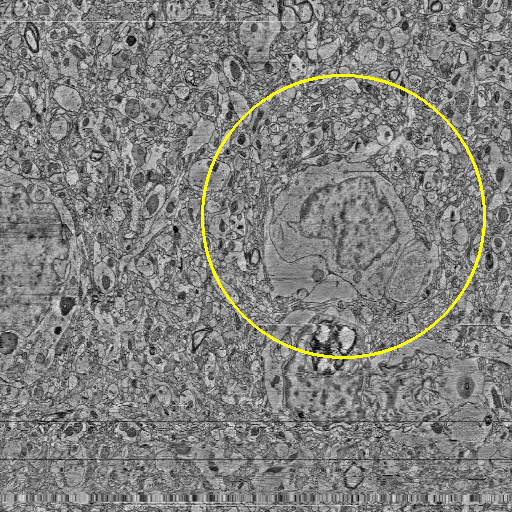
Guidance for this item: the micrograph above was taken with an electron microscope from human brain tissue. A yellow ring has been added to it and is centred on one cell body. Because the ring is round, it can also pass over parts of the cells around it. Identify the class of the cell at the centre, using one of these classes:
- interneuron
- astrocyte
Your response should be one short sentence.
The ring surrounds the body of an interneuron.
